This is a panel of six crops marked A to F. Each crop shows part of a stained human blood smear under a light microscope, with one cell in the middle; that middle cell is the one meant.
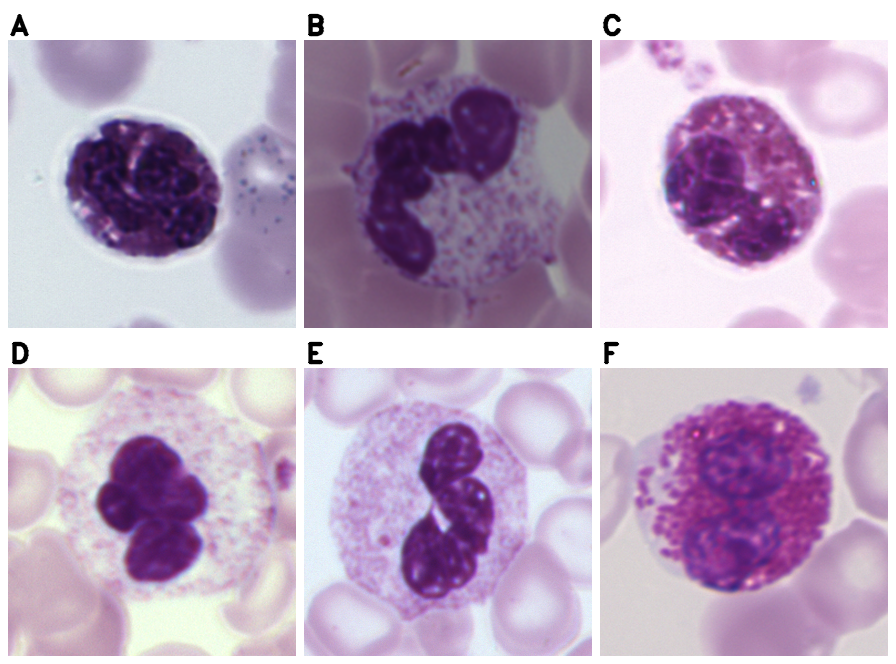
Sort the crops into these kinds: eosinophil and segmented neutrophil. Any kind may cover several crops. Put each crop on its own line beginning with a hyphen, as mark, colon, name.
- A: eosinophil
- B: segmented neutrophil
- C: eosinophil
- D: segmented neutrophil
- E: segmented neutrophil
- F: eosinophil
